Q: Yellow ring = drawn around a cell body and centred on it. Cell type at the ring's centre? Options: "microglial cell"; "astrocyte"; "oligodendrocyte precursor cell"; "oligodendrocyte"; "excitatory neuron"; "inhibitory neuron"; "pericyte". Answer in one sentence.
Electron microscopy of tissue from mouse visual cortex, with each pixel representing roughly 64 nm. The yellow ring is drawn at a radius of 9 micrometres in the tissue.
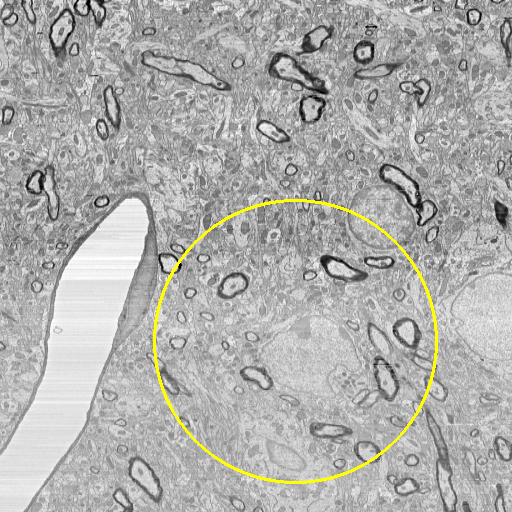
Centred in the ring is an oligodendrocyte precursor cell.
